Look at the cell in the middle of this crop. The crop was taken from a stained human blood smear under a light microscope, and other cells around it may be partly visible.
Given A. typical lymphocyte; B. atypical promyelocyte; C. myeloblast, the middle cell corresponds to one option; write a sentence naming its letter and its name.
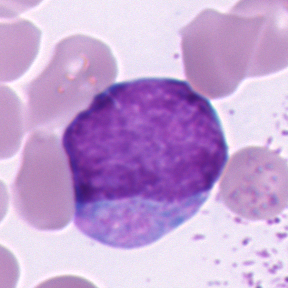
That middle cell is an atypical promyelocyte, and option B is therefore correct.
